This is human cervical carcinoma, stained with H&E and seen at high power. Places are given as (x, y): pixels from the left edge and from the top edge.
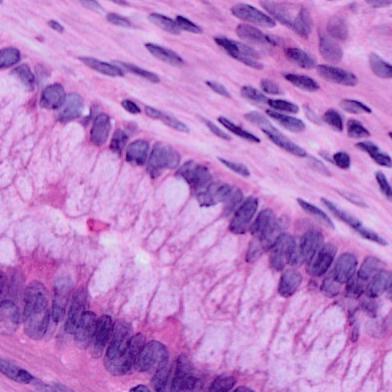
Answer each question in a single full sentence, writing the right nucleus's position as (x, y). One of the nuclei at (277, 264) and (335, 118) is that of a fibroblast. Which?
Of these two nuclei, only the one at (335, 118) belongs to a fibroblast.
